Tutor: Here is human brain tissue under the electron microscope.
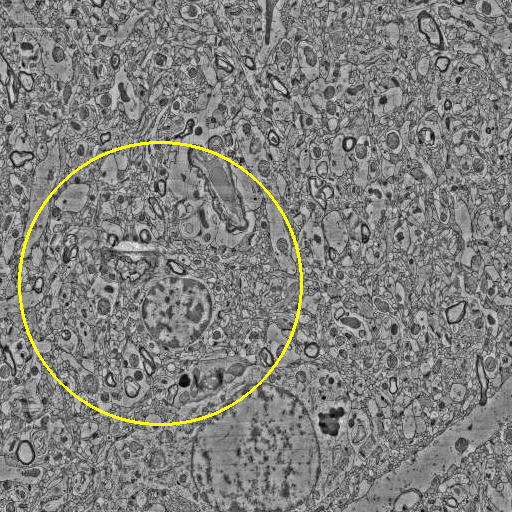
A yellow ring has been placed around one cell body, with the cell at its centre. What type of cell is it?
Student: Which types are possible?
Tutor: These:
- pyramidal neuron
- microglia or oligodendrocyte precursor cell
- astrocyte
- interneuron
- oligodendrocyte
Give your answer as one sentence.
What the ring picks out here is a microglial cell or oligodendrocyte precursor cell.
